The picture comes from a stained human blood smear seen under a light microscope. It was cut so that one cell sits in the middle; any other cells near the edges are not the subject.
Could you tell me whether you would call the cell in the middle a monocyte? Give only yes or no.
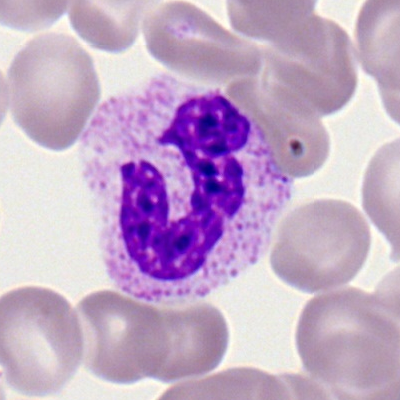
no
